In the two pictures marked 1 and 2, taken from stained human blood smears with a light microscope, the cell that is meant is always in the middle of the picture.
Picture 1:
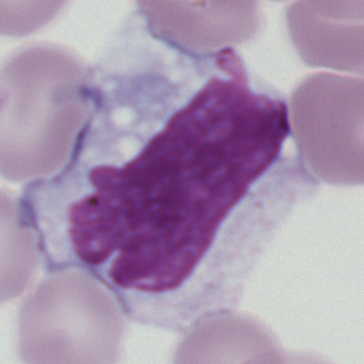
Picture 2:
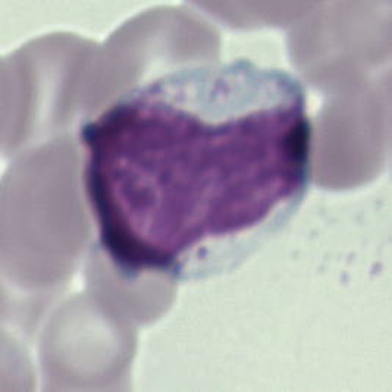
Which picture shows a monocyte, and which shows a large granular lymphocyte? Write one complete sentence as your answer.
Picture 1 shows a monocyte and picture 2 shows a large granular lymphocyte.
